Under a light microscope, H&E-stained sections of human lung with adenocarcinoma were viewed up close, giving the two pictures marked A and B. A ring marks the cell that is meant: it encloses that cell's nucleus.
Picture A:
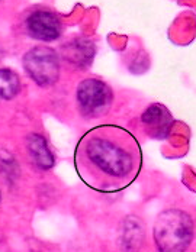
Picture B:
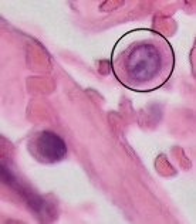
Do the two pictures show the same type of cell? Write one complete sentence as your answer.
Yes, both are “macrophages or monocytes”.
